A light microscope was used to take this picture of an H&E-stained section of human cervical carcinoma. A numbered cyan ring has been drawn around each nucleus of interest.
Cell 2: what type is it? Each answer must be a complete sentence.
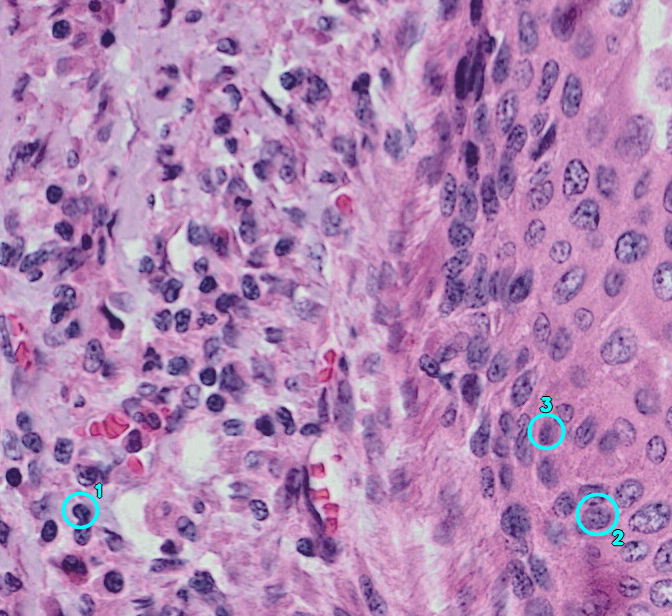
Number 2 among the marked cells is a squamous carcinoma cell.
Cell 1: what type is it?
The cell carrying label 1 is identified as a lymphocyte.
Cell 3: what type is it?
Denoted by the label 3 in the section is a squamous carcinoma cell.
